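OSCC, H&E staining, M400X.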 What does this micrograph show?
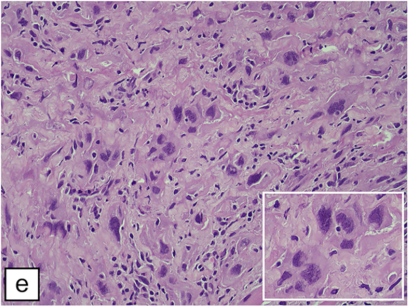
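Tumor cells of a squamous cell carcinoma show marked nuclear pleomorphism. Scattered in a pink, fibrous stroma, the tumor cells vary strikingly in size and shape: some are small and spindled, others large and polygonal with ample pink cytoplasm. Their nuclei are dark purple and irregular, some enlarged and bizarre, some with several nuclei or lobed outlines, as the inset shows at higher power. Small, slender stromal nuclei lie between them for comparison. The disorder of nuclear size, shape and staining is far from the uniform nuclei of normal squamous epithelium.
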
